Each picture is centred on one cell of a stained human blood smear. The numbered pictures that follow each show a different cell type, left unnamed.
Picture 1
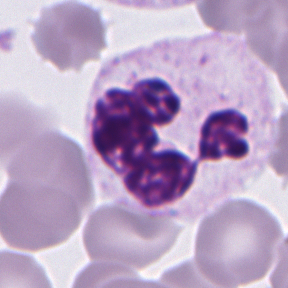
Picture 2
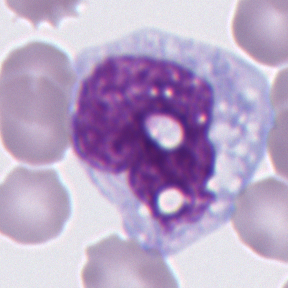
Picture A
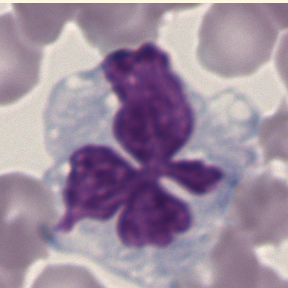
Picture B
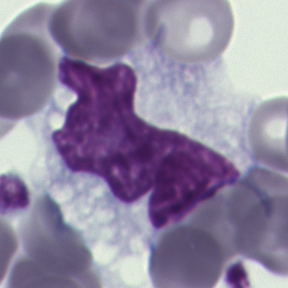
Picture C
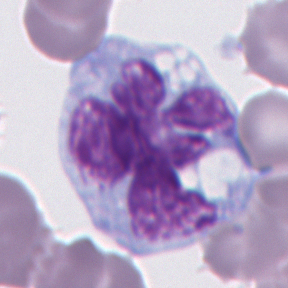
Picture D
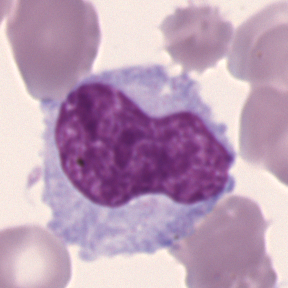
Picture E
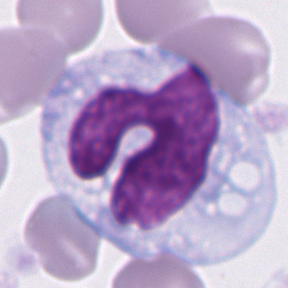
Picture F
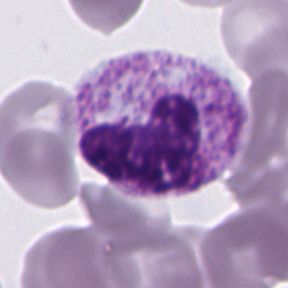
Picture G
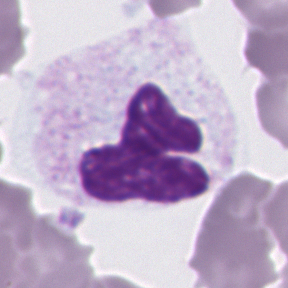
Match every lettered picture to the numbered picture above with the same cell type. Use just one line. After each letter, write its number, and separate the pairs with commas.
A 2, B 2, C 2, D 2, E 2, F 1, G 1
